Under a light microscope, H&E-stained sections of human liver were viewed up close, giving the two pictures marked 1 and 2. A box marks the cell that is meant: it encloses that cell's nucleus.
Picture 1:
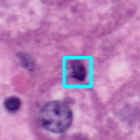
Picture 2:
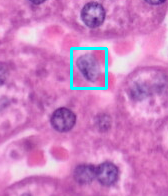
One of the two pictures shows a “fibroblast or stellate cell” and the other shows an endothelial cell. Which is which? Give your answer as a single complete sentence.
The cell in picture 1 is a “fibroblast or stellate cell”, and the one in picture 2 is an endothelial cell.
